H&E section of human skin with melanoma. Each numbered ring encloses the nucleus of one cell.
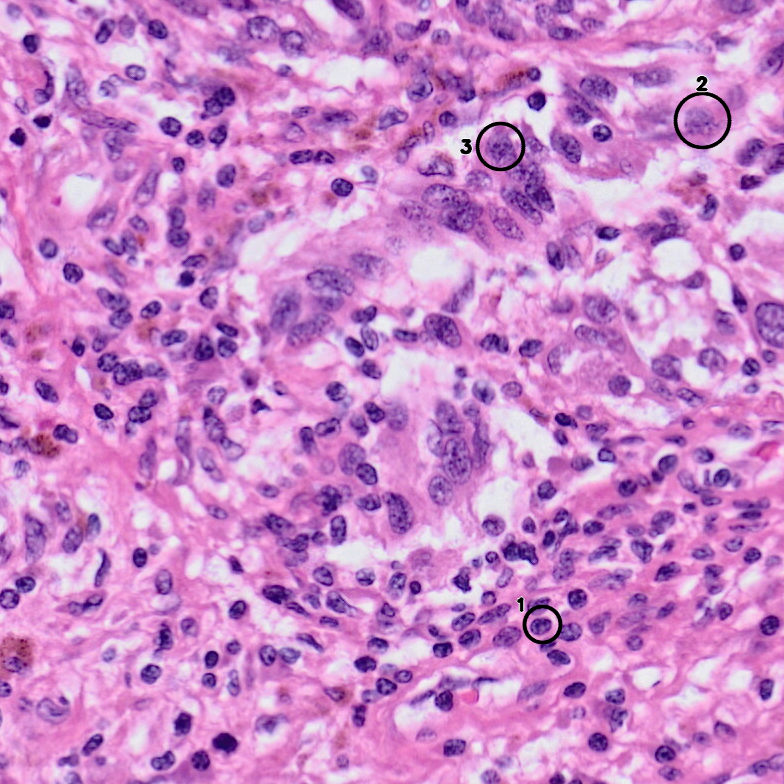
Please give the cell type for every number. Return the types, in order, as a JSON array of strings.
["lymphocyte", "melanoma cell", "melanoma cell"]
